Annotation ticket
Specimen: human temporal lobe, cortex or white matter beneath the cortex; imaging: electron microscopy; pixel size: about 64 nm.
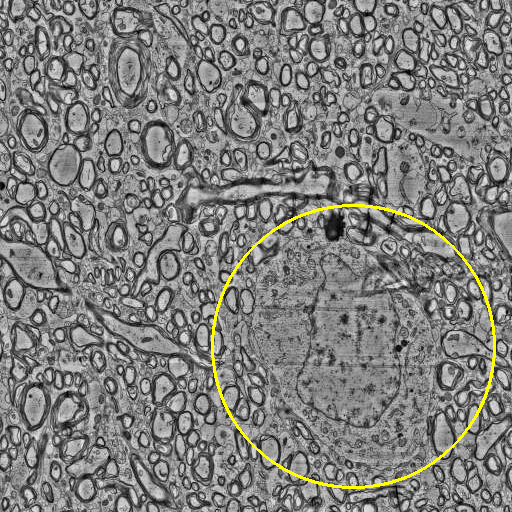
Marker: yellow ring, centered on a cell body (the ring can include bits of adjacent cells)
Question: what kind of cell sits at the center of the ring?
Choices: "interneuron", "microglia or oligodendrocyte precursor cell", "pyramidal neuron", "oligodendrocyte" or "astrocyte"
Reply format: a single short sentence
The ring is centered on a pyramidal neuron.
